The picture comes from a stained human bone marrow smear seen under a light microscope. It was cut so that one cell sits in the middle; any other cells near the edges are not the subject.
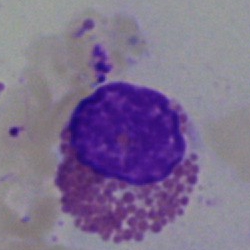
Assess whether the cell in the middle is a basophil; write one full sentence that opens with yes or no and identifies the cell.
No, the cell in the centre is an eosinophil instead of a basophil.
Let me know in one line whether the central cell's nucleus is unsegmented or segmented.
In this cell the nucleus is a solitary compact mass, round, oval or kidney-shaped.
